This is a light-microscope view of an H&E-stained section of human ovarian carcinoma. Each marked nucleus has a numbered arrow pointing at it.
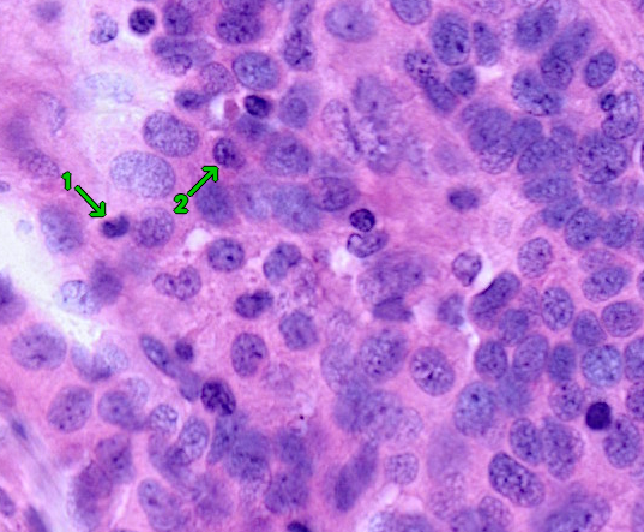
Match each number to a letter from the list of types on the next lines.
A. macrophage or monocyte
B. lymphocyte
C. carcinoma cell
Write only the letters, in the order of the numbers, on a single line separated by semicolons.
B; A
